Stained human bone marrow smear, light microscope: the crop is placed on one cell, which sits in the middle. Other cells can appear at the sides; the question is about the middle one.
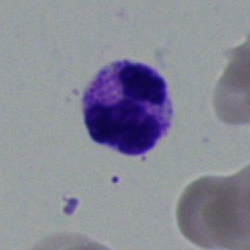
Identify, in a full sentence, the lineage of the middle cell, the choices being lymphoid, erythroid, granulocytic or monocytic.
The cell in the middle belongs to the granulocytic lineage.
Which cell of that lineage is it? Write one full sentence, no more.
Among the cells in view, the one in the middle is a segmented neutrophil.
